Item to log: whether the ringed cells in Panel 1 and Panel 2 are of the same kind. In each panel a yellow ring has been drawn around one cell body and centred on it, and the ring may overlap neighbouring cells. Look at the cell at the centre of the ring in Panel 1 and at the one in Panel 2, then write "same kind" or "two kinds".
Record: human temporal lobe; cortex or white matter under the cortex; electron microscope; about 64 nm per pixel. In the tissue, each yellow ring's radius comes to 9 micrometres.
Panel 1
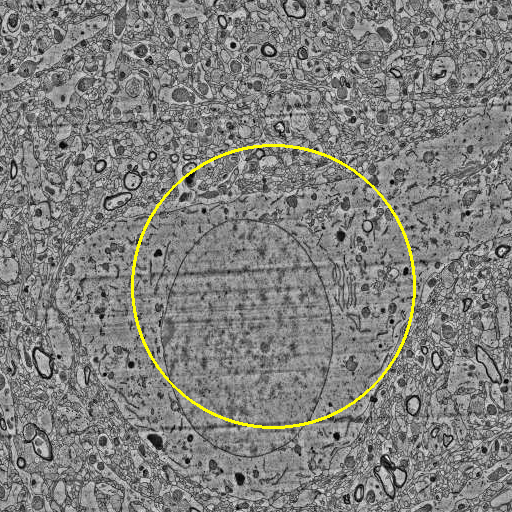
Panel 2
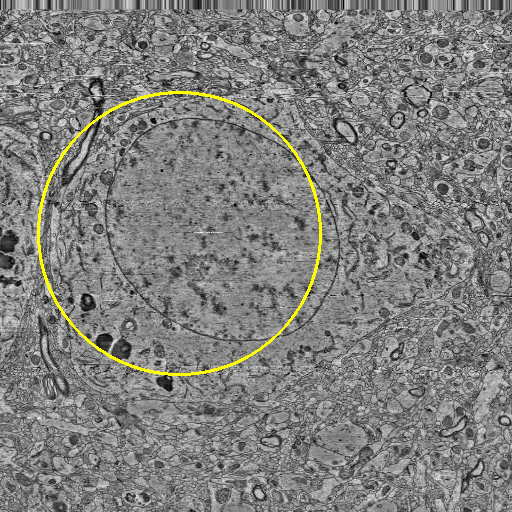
same kind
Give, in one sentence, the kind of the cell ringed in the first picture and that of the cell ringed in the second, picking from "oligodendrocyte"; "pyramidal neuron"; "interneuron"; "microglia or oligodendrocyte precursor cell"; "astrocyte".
In each of the two pictures, the ringed cell is a pyramidal neuron.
